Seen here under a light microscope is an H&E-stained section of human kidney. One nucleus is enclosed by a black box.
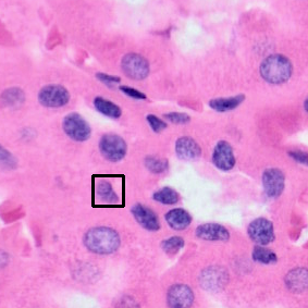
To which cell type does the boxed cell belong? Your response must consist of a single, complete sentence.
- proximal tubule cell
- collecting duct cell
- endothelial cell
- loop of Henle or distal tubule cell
Speaking plainly, the boxed cell is nothing other than a loop of Henle or distal tubule cell.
